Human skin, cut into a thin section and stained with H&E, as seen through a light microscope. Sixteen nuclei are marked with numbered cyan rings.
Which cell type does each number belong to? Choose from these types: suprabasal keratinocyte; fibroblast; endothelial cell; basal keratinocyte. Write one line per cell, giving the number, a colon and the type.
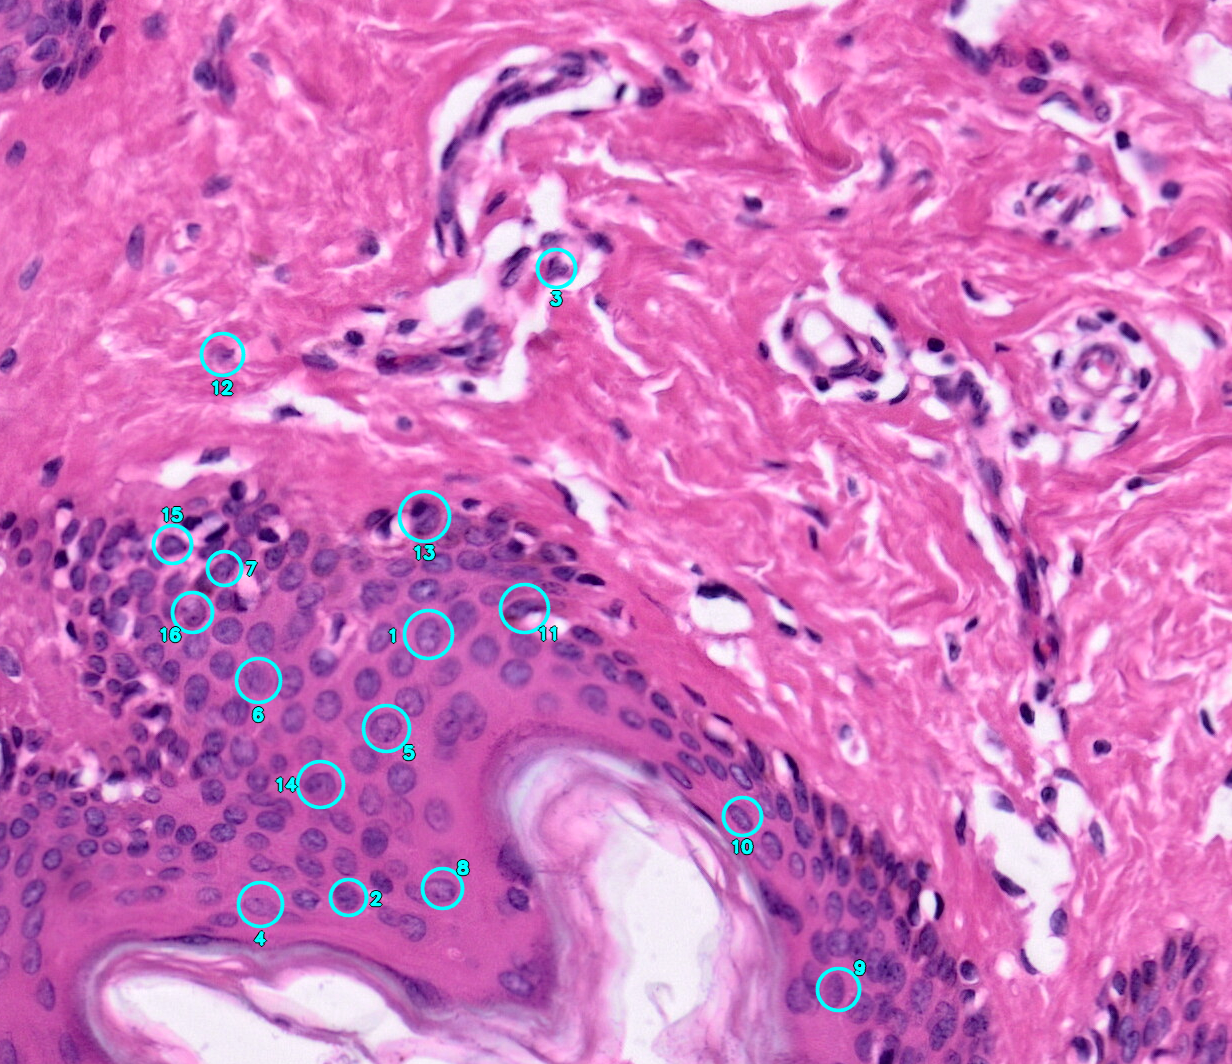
1: suprabasal keratinocyte
2: suprabasal keratinocyte
3: endothelial cell
4: suprabasal keratinocyte
5: suprabasal keratinocyte
6: suprabasal keratinocyte
7: basal keratinocyte
8: suprabasal keratinocyte
9: suprabasal keratinocyte
10: suprabasal keratinocyte
11: basal keratinocyte
12: fibroblast
13: basal keratinocyte
14: suprabasal keratinocyte
15: basal keratinocyte
16: basal keratinocyte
